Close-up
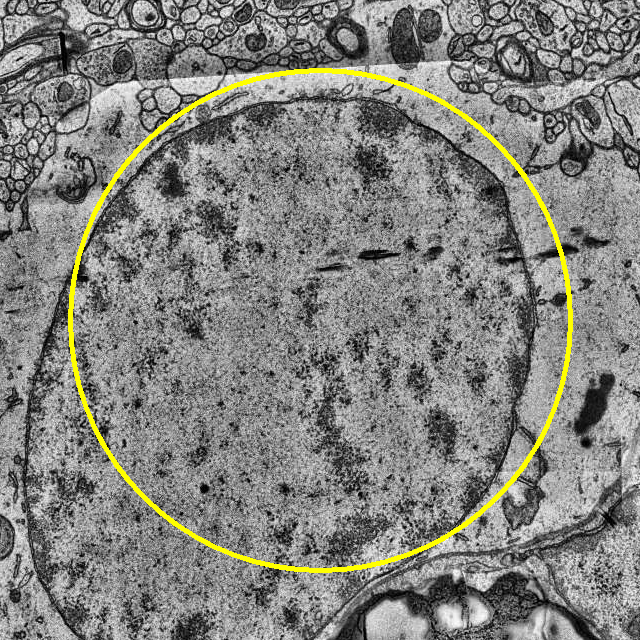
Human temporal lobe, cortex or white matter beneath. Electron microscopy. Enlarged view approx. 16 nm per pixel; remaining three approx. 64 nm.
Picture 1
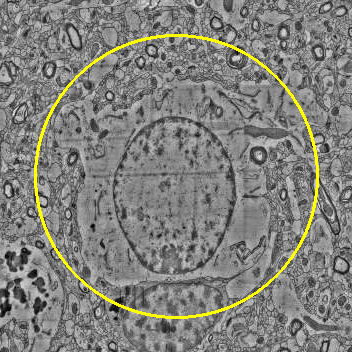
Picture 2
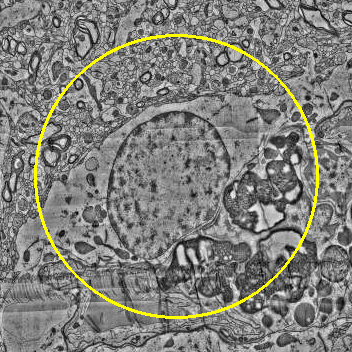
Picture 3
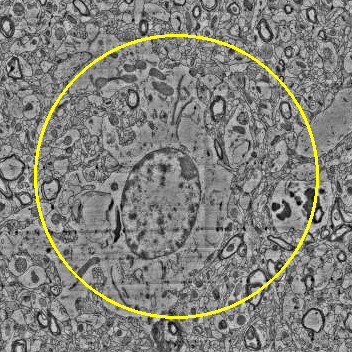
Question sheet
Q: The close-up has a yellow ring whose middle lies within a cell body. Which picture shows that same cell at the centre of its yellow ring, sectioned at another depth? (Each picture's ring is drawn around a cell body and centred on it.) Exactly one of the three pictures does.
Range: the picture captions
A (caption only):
Picture 2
